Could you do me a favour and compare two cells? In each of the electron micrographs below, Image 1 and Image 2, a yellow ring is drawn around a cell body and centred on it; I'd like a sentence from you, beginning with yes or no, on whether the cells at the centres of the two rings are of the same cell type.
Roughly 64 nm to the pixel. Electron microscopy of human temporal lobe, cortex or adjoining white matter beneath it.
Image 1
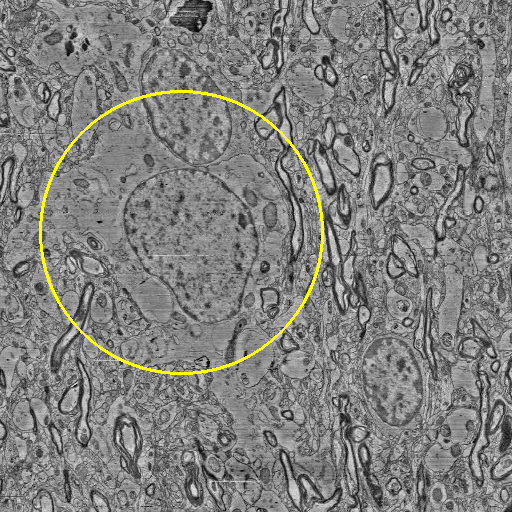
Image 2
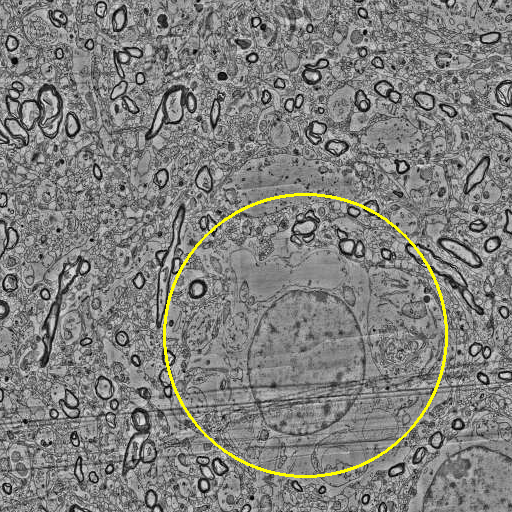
Yes, the two cells are of the same cell type.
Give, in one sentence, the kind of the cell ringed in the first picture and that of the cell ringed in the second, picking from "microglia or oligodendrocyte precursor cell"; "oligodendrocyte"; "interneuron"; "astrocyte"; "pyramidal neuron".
The cell at the ring centre is an astrocyte in both pictures.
